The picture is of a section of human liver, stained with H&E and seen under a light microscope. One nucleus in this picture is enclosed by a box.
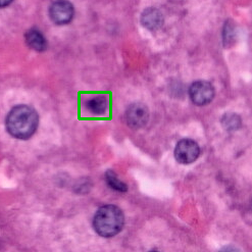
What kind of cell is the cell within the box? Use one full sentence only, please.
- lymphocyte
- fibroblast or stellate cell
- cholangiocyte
In this field of tissue, the cell within the box is a fibroblast or stellate cell.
